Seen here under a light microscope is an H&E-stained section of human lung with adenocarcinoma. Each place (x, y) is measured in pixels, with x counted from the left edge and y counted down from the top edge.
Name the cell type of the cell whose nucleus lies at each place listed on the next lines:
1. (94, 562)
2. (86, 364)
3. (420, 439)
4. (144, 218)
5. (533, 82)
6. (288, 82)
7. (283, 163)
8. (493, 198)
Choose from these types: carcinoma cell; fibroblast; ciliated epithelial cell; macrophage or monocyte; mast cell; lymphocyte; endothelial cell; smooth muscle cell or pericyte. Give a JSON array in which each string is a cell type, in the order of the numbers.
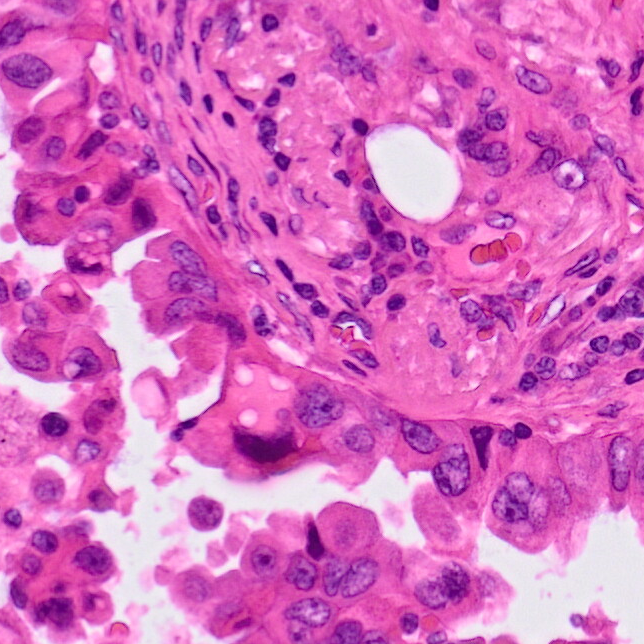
["carcinoma cell", "carcinoma cell", "carcinoma cell", "carcinoma cell", "macrophage or monocyte", "lymphocyte", "lymphocyte", "macrophage or monocyte"]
